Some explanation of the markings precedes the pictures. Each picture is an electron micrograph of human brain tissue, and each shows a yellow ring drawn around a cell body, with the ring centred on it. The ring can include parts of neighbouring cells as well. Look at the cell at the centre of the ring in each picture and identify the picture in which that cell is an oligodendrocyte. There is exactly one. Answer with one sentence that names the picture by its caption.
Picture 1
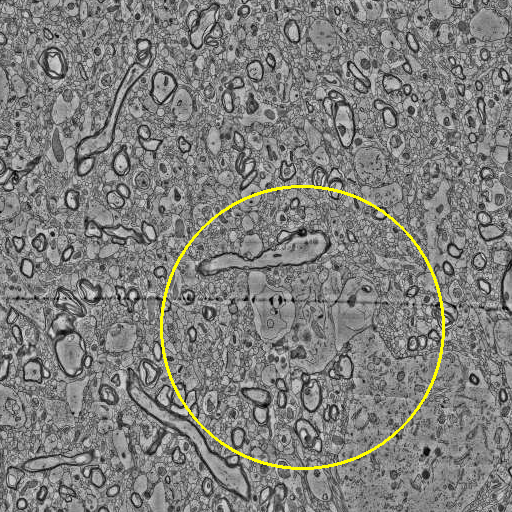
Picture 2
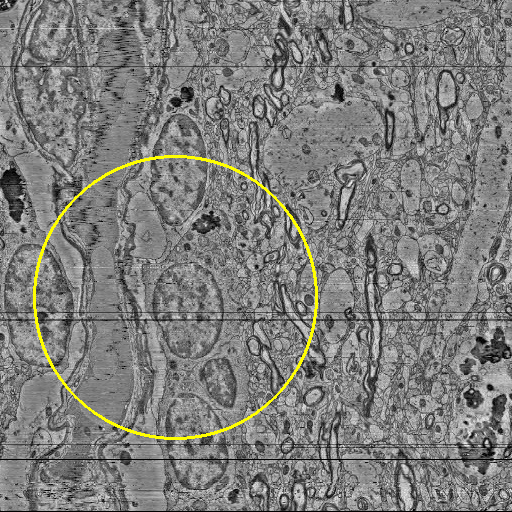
In Picture 2, the cell at the centre of the ring is of that kind.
